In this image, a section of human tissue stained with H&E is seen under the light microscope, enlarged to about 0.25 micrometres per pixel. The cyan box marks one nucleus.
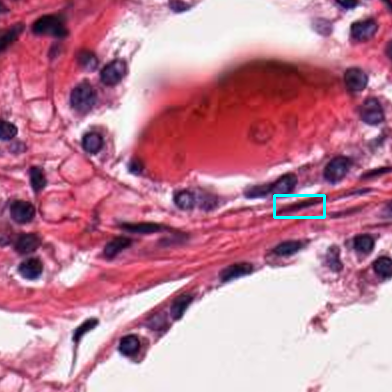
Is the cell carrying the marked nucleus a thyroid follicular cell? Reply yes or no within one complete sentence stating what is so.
No, the marked nucleus is assigned not to a thyroid follicular cell but to a supporting cell.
